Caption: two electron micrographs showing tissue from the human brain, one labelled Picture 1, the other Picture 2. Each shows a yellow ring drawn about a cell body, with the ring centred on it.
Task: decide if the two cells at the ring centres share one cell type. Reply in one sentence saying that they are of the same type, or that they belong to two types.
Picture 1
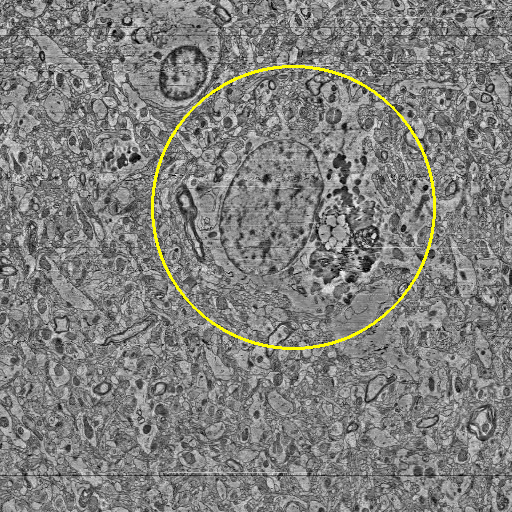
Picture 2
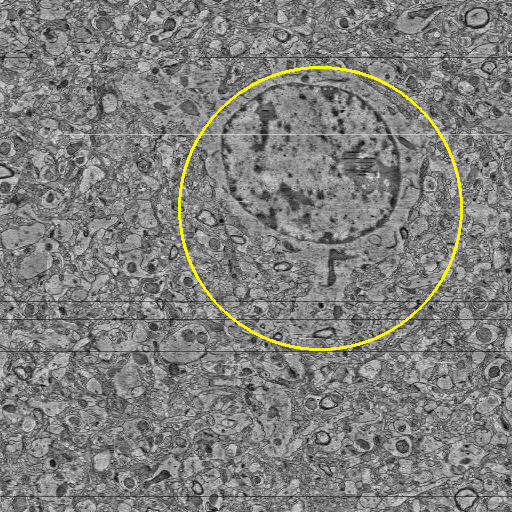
The cells at the ring centres in Picture 1 and Picture 2 are of the same type.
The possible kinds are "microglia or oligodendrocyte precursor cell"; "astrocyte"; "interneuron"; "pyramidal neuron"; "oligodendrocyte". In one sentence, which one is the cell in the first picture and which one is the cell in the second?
Each of the two cells is an astrocyte.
